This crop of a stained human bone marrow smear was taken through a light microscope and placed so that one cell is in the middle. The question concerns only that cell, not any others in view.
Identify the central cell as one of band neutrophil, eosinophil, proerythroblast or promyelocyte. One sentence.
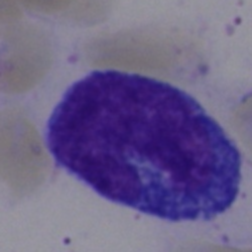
Among the cells in view, the one in the middle is a promyelocyte.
